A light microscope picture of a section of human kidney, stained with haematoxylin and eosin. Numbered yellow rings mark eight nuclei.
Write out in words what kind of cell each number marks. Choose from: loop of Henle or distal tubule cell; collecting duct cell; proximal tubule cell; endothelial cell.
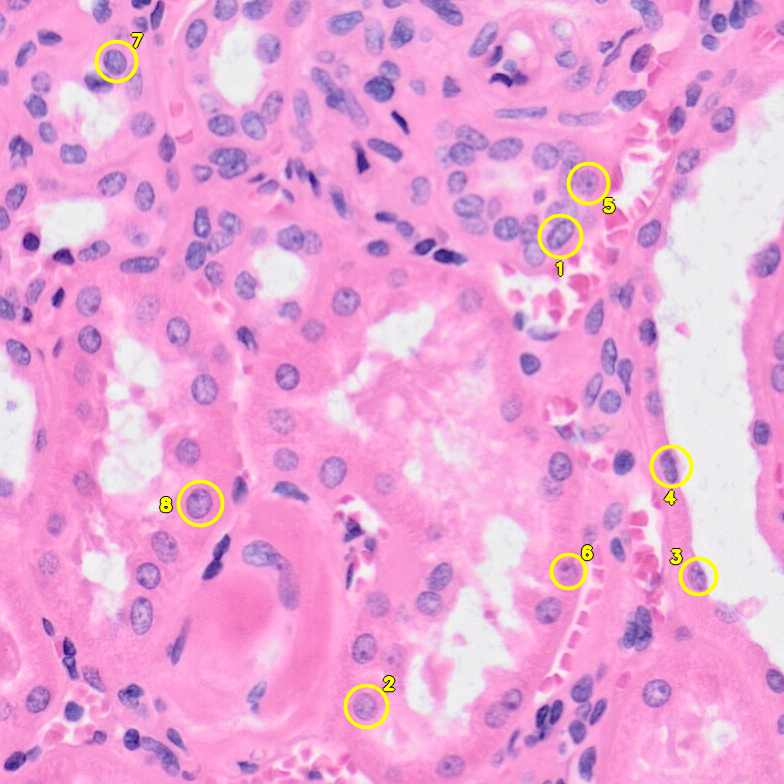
Cells 1, 5 and 7 are collecting duct cells. Cells 2, 6 and 8 are proximal tubule cells. Cells 3 and 4 are loop of Henle or distal tubule cells.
